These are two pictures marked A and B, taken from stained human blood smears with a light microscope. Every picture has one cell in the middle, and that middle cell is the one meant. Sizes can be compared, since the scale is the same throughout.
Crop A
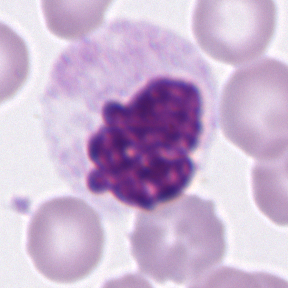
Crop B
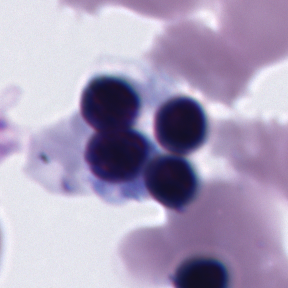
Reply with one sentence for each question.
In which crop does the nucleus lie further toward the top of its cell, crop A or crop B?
The nucleus in crop B lies further toward the top of its cell.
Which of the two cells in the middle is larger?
The cell in crop A is larger, with about 1.5 times the area of the one in crop B.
